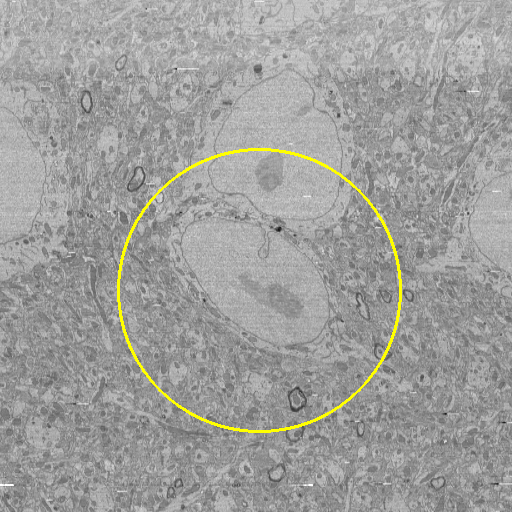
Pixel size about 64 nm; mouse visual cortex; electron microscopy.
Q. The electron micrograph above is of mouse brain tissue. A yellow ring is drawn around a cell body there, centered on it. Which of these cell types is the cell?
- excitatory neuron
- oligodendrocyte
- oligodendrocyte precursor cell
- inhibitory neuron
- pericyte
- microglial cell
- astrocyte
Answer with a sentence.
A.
The cell under the ring's center is an inhibitory neuron.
